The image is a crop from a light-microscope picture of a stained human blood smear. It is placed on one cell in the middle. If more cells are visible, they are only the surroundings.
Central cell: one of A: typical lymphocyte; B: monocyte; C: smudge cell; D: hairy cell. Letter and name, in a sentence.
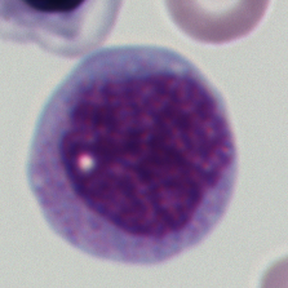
This one is option B, since the cell at the center is a monocyte.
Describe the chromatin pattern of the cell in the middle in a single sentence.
The chromatin shows a fine pattern without coarse clumps.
